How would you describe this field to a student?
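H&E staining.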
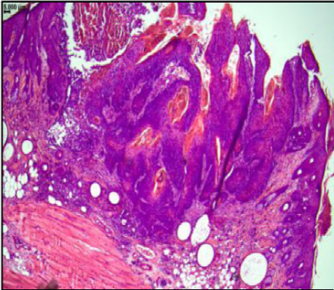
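The epithelium is greatly thickened and thrown into deep folds and projections, with pink, eosin-rich keratinized material lying within and between the epithelial masses. Beneath the lesion the dermis contains rounded clear fat cells, and pink bands of skeletal muscle run across the lower part of the section.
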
